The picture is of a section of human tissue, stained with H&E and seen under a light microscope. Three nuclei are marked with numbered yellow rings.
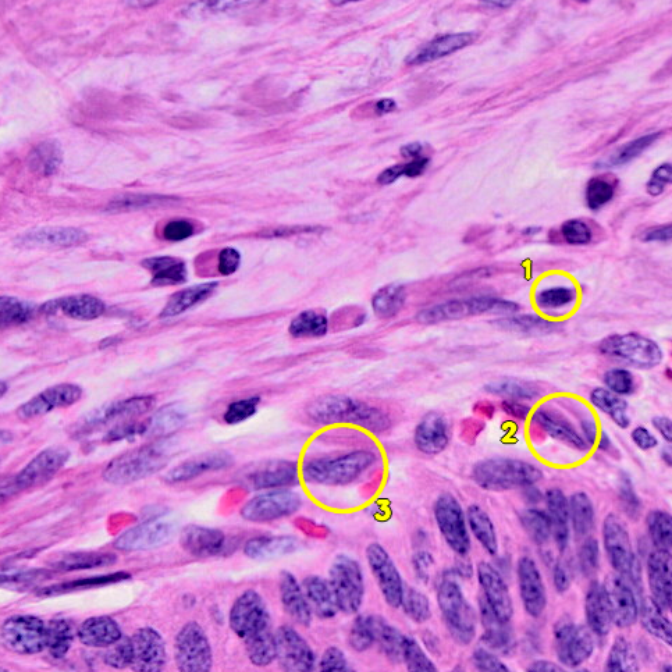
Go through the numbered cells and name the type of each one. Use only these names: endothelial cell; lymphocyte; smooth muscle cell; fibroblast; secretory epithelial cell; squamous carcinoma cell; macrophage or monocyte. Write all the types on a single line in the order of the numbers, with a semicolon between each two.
lymphocyte; endothelial cell; endothelial cell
